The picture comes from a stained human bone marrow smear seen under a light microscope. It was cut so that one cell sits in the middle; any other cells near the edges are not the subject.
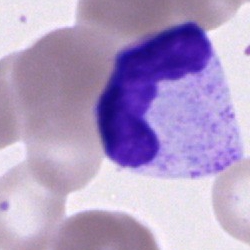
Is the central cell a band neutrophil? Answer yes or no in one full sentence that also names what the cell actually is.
Yes, the cell located at the center is a band neutrophil.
